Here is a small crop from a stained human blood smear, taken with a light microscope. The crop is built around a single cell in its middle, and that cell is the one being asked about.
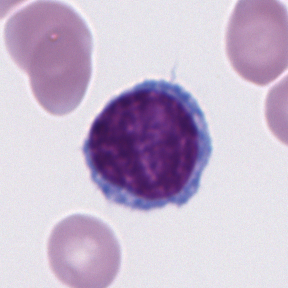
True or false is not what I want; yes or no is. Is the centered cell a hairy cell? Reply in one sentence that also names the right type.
No, calling it a hairy cell is wrong; the middle cell is a typical lymphocyte.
